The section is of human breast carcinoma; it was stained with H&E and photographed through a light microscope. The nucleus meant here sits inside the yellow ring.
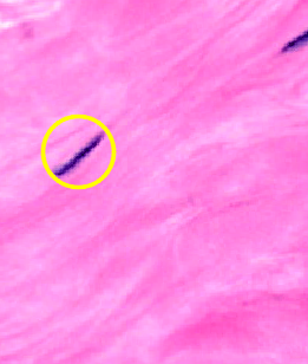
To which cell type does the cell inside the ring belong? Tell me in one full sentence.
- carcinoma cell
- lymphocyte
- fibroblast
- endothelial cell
On this particular slide, the cell inside the ring is a fibroblast.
